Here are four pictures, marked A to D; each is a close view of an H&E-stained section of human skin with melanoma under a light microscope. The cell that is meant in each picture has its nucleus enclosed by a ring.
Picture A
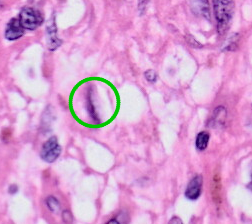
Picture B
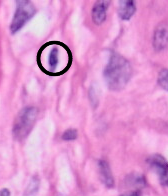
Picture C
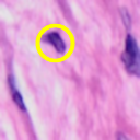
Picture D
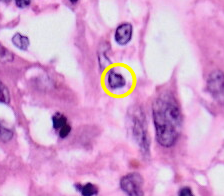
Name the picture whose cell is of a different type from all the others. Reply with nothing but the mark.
A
